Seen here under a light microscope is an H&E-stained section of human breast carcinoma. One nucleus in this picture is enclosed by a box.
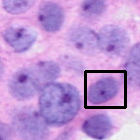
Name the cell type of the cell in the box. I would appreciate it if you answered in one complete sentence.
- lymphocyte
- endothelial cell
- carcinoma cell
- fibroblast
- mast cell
In this tissue section, the cell in the box is to be classed as a carcinoma cell.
